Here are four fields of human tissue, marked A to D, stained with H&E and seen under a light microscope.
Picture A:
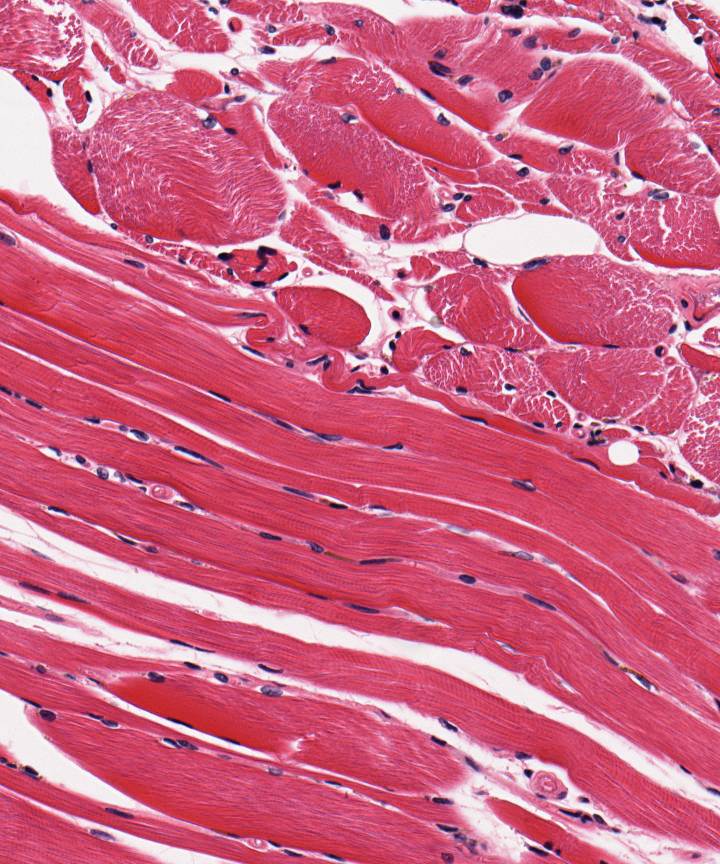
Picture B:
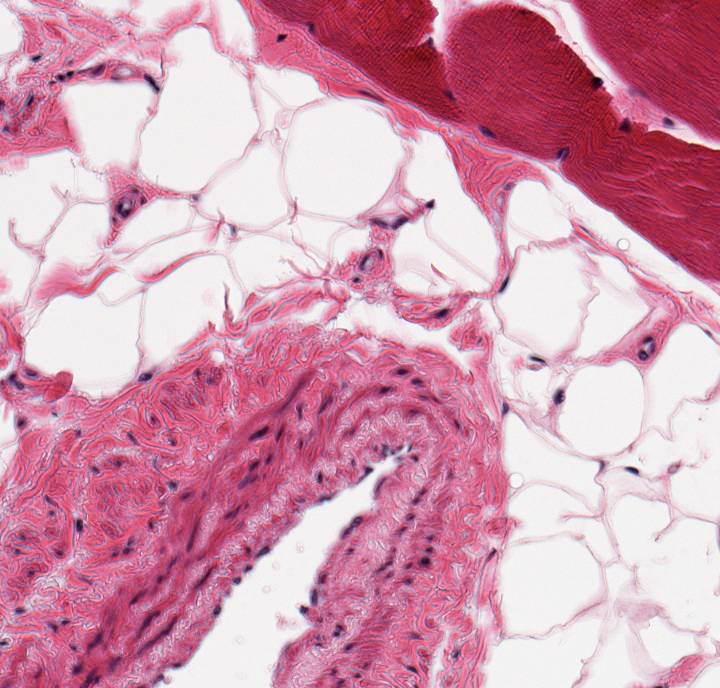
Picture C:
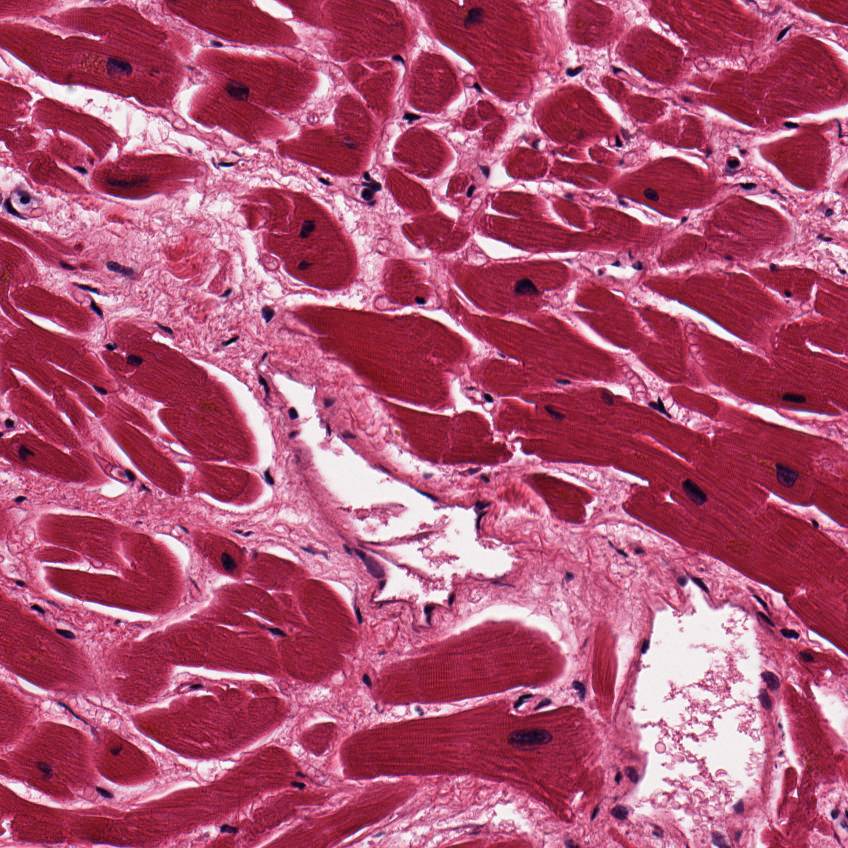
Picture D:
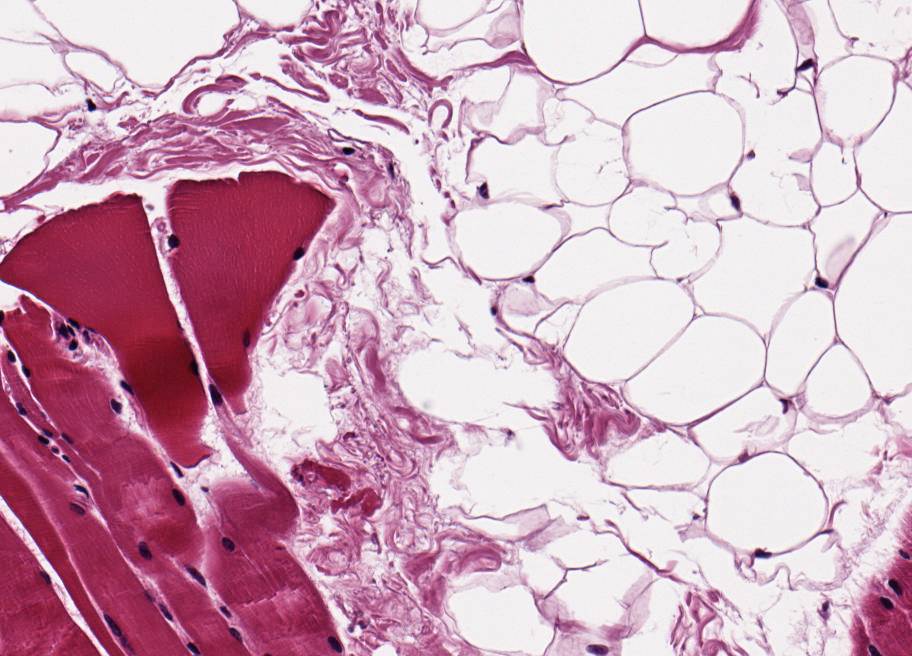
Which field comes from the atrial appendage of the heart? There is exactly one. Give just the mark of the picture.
C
